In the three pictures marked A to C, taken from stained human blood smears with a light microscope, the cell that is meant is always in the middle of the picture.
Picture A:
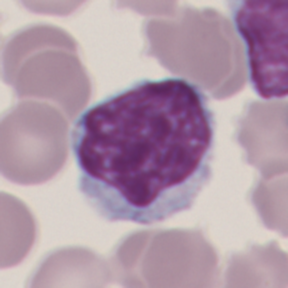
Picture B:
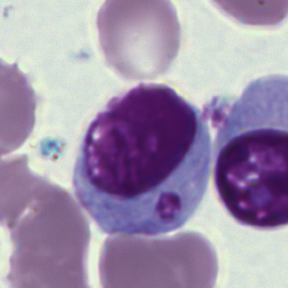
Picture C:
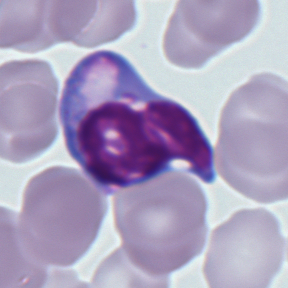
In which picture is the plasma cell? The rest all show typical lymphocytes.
B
